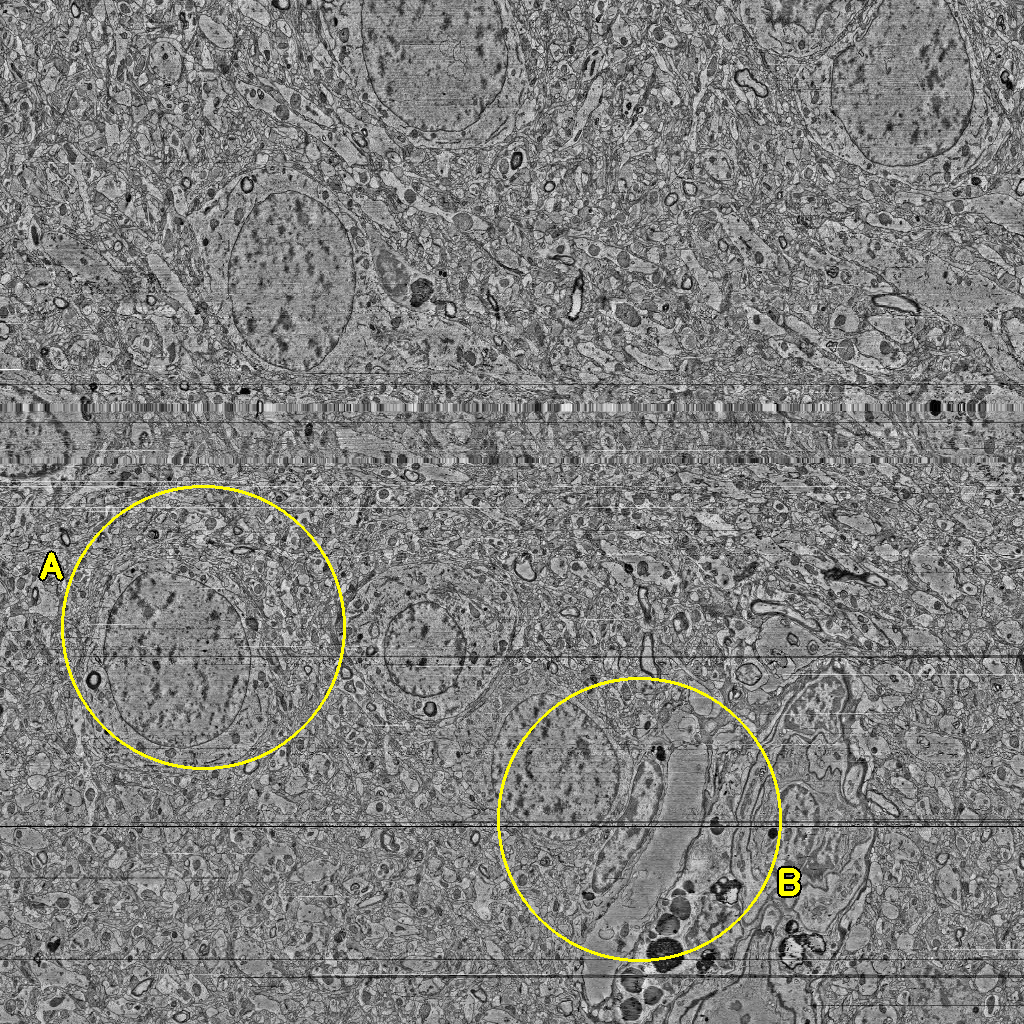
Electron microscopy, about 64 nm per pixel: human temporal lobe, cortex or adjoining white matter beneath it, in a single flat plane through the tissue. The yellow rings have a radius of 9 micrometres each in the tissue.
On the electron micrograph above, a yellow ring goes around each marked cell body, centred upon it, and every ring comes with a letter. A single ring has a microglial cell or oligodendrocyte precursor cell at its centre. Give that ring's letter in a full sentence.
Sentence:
The ring holding the cell asked for at its centre bears the letter B.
